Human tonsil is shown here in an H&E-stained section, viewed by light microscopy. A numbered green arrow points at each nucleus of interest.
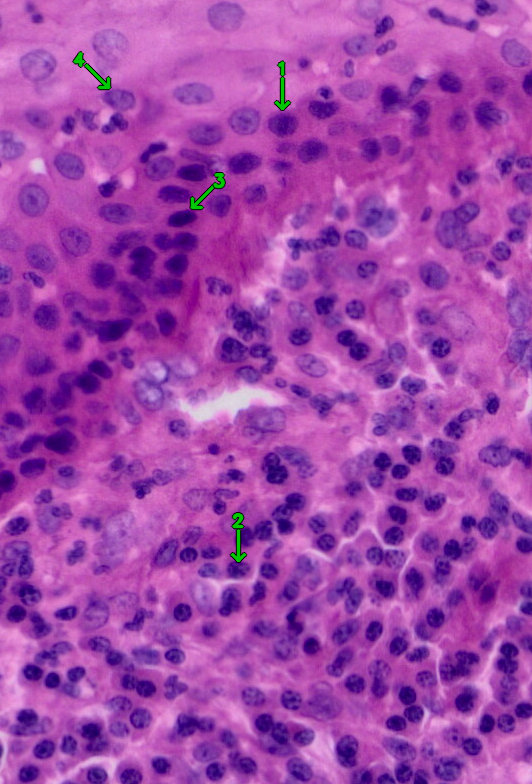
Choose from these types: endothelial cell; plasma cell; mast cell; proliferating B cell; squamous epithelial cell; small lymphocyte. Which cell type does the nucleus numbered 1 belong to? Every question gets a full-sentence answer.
Cell 1 should be recorded as a squamous epithelial cell.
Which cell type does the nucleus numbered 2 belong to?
The cell tagged with 2 in this tissue section is a plasma cell.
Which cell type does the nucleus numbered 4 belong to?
Nucleus 4 in this section belongs to a squamous epithelial cell.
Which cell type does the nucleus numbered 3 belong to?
The nucleus labeled 3 belongs to a squamous epithelial cell.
